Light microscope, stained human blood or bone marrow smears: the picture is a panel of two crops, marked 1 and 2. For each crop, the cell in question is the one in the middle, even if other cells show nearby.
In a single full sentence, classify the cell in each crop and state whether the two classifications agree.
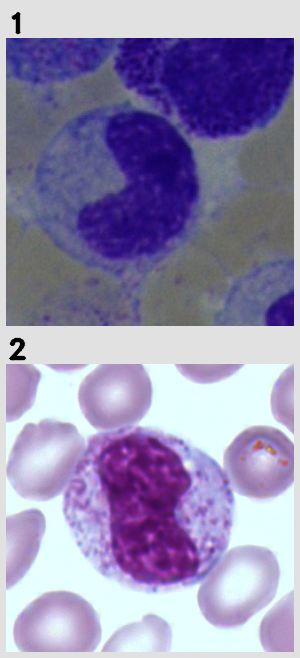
No, a band neutrophil is in crop 1, and a metamyelocyte is in crop 2.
